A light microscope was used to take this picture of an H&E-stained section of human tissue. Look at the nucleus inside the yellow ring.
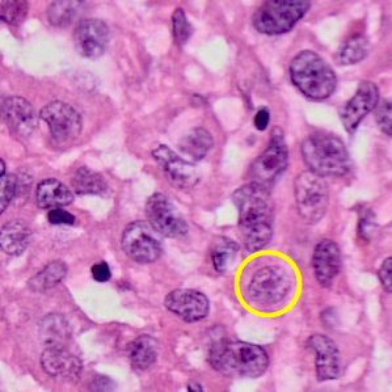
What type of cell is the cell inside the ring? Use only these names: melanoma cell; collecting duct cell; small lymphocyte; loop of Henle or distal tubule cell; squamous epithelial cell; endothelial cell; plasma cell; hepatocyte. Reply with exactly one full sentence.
In this section of tissue, the cell inside the ring is a melanoma cell.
